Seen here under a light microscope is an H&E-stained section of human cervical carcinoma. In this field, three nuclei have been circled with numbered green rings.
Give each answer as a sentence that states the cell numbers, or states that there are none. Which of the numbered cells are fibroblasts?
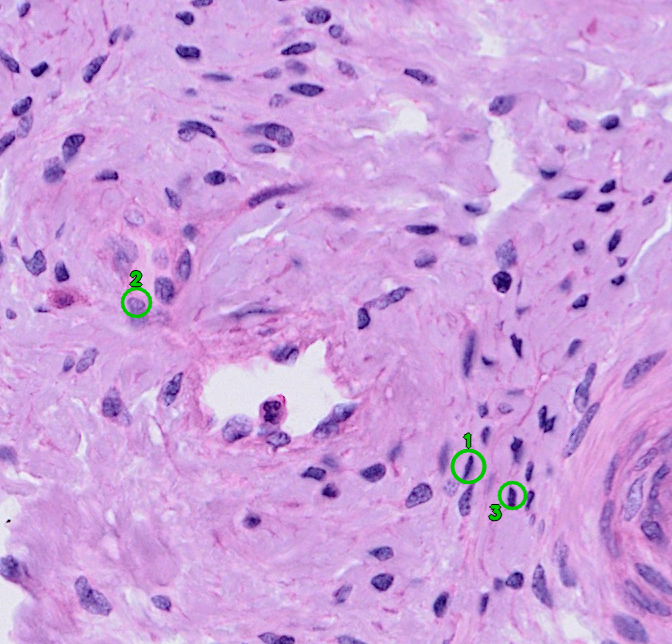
The cells numbered 1 and 3 are typed as fibroblasts.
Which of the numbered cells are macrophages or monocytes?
Not one numbered cell here is one of the macrophages or monocytes.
